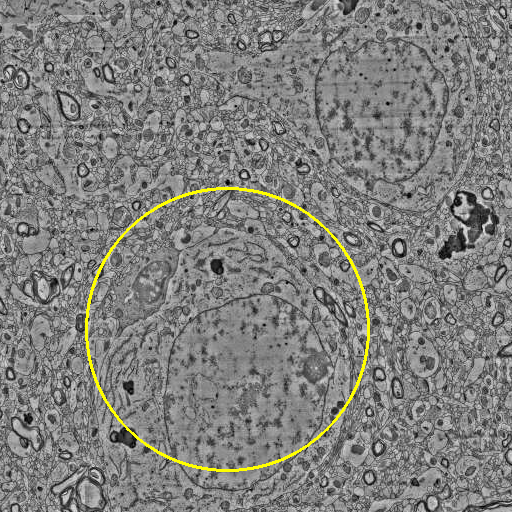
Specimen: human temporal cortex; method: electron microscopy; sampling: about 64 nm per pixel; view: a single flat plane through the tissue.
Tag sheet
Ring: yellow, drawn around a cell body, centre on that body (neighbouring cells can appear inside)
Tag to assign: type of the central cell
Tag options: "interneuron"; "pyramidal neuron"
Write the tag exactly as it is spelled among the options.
pyramidal neuron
